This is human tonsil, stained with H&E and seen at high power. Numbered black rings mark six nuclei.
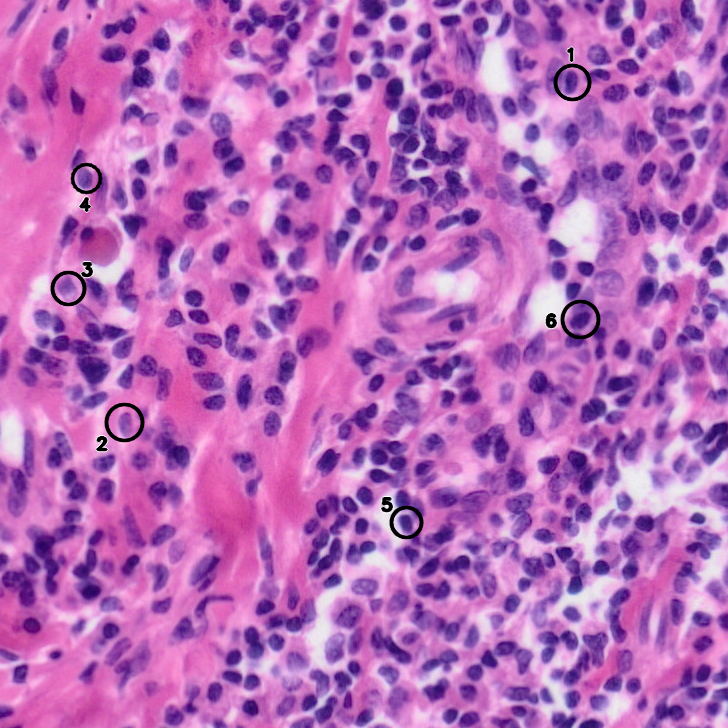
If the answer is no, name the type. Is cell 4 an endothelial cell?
No, it is a mast cell.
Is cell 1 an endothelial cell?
Yes.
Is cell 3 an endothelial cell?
Yes.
